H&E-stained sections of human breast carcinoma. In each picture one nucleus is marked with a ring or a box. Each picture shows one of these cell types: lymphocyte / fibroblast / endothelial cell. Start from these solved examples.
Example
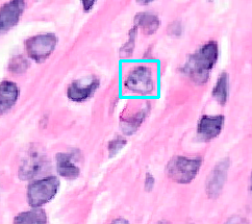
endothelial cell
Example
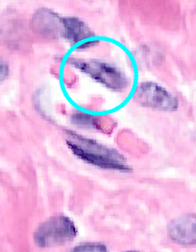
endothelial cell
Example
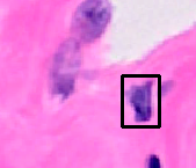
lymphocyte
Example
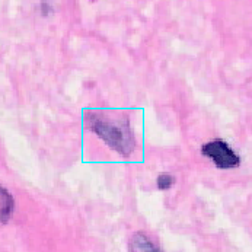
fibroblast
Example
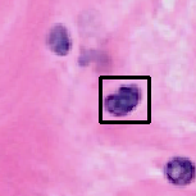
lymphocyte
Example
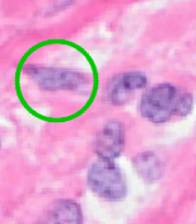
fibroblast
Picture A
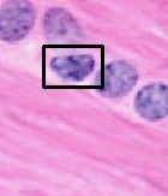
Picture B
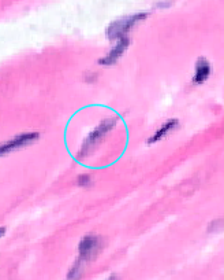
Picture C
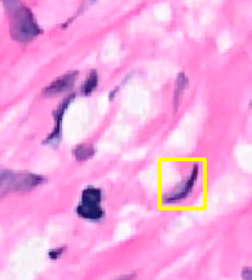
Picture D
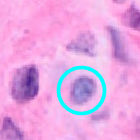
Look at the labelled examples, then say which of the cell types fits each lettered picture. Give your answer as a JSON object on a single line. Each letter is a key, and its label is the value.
{"A": "lymphocyte", "B": "fibroblast", "C": "fibroblast", "D": "endothelial cell"}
